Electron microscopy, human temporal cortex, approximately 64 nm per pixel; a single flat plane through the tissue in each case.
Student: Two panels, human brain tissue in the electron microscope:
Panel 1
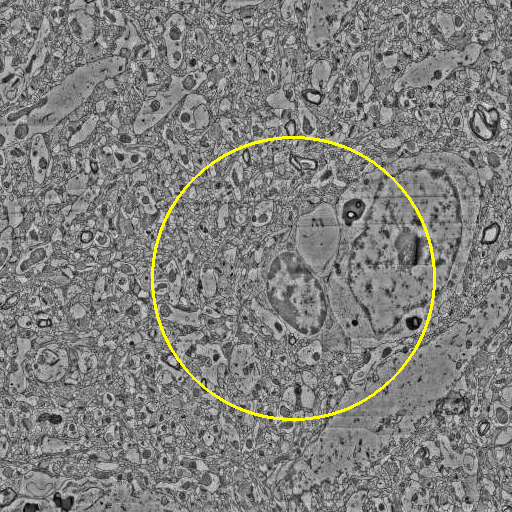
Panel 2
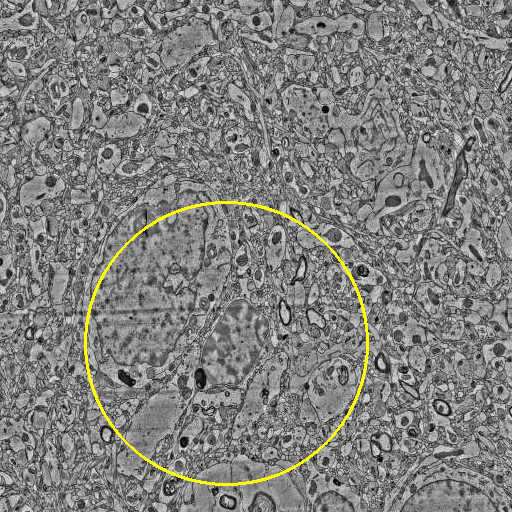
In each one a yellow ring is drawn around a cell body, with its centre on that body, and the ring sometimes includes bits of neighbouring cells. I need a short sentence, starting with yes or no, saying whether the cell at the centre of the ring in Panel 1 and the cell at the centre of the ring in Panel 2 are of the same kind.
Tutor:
Yes, they are the same kind of cell.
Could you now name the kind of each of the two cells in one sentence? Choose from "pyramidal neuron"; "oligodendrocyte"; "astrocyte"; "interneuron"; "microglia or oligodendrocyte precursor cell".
In each picture the ringed cell is a microglial cell or oligodendrocyte precursor cell.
